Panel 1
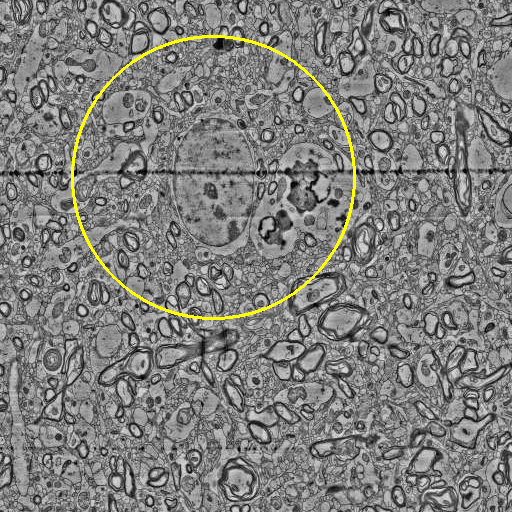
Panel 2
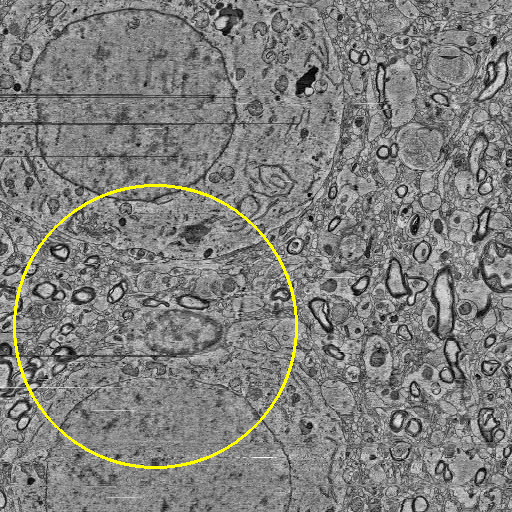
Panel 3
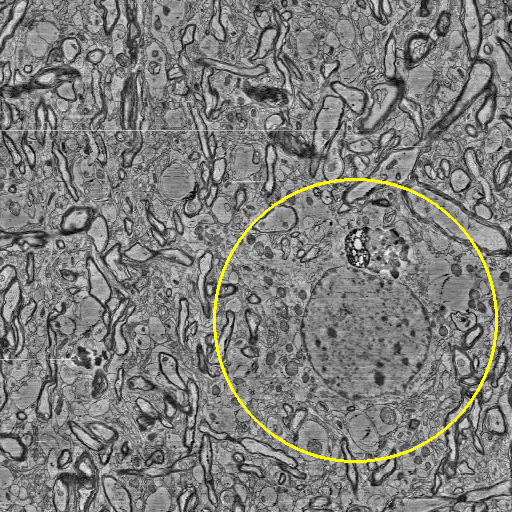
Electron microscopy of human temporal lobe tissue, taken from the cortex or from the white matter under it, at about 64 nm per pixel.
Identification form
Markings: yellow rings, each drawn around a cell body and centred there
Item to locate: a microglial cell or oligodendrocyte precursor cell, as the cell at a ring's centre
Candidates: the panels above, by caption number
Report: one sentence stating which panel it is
It is Panel 1.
